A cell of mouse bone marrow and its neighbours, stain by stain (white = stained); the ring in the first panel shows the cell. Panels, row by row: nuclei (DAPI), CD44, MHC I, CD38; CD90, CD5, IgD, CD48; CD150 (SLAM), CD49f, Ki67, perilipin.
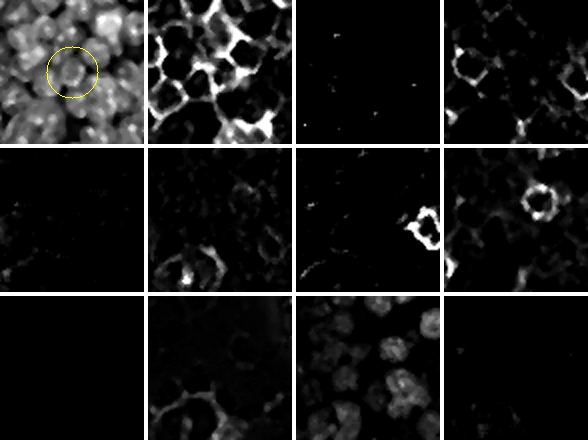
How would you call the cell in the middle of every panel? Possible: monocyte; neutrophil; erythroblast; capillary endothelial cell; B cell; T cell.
I would call it a neutrophil.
